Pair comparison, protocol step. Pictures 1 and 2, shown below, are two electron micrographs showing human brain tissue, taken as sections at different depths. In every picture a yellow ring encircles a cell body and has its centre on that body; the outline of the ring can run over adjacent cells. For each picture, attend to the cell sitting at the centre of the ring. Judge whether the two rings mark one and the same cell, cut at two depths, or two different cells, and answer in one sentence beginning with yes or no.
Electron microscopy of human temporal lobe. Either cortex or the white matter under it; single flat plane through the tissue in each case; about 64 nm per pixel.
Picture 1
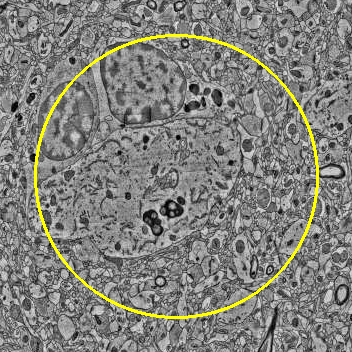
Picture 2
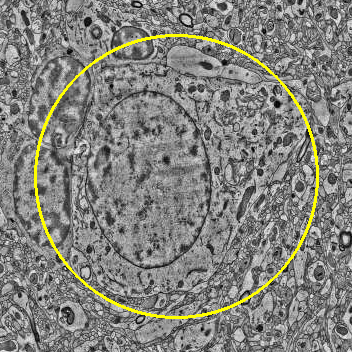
Yes, the same cell appears within both yellow rings.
